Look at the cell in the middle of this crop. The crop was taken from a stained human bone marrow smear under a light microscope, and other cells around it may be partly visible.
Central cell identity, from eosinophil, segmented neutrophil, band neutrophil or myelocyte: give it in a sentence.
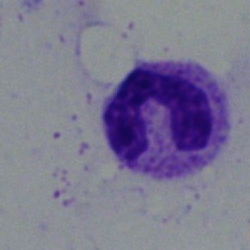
In this smear crop, the middle cell is a band neutrophil.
